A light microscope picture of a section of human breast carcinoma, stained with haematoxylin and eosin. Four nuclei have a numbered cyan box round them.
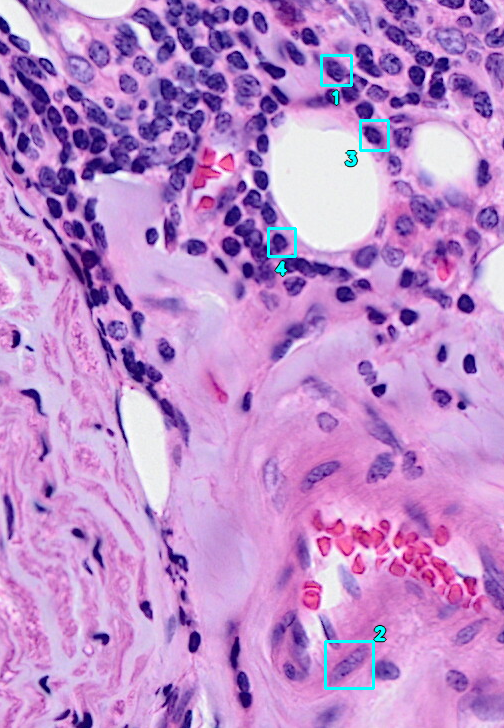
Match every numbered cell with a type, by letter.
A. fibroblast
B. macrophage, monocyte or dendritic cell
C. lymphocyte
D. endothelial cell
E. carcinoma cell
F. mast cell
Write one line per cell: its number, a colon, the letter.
1: C
2: D
3: C
4: C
